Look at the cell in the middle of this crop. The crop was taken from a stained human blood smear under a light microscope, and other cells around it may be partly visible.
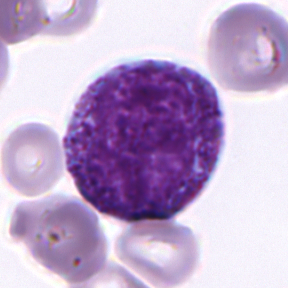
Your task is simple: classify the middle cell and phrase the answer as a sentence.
At the crop's centre, the cell is a myelocyte.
